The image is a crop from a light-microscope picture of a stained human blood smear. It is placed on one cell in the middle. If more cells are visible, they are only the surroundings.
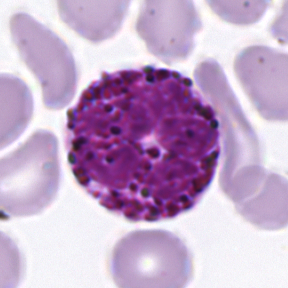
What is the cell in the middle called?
basophil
